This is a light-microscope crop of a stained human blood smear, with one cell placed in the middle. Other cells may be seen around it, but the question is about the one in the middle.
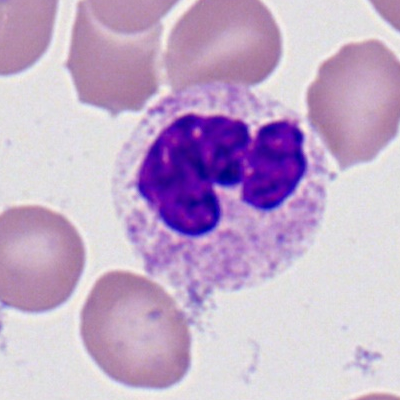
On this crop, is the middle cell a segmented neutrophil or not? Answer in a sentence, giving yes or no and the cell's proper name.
Yes, the cell shown in the middle is a segmented neutrophil.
